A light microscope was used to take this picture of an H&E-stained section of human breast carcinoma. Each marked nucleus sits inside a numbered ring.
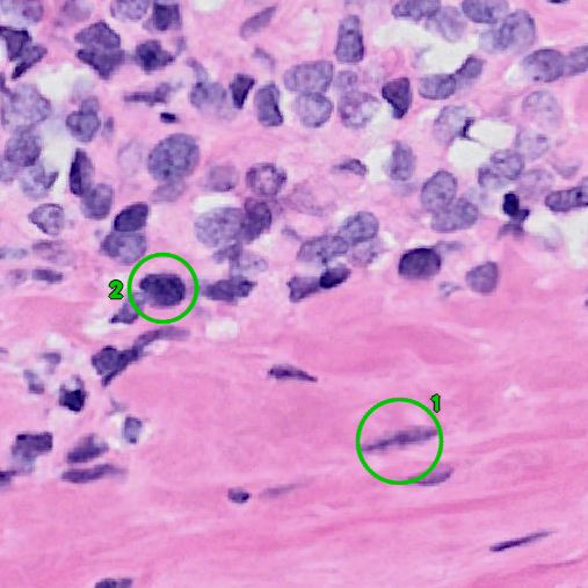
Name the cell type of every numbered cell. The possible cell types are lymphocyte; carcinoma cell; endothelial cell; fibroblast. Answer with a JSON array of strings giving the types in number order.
["fibroblast", "carcinoma cell"]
